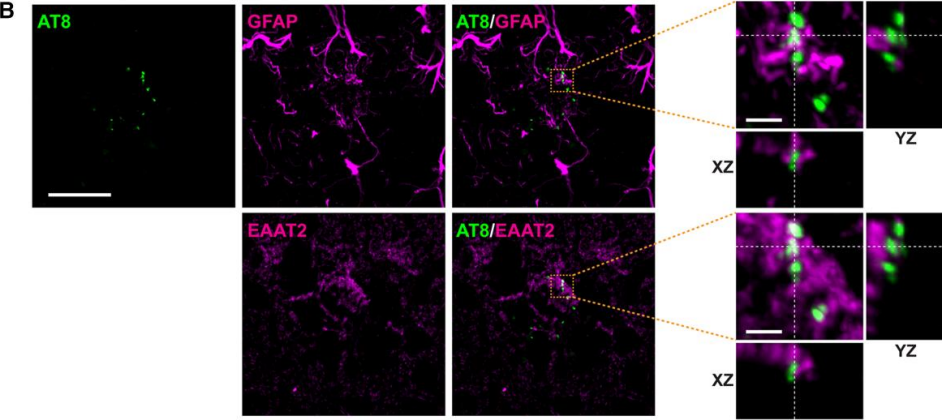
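The upper row shows magenta star-shaped cells with long, thick radiating processes, and the lower row a fine, diffuse magenta meshwork of small dots. Small round green puncta form a loose cluster among them, and the orthogonal views show the puncta lying next to the magenta structures.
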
